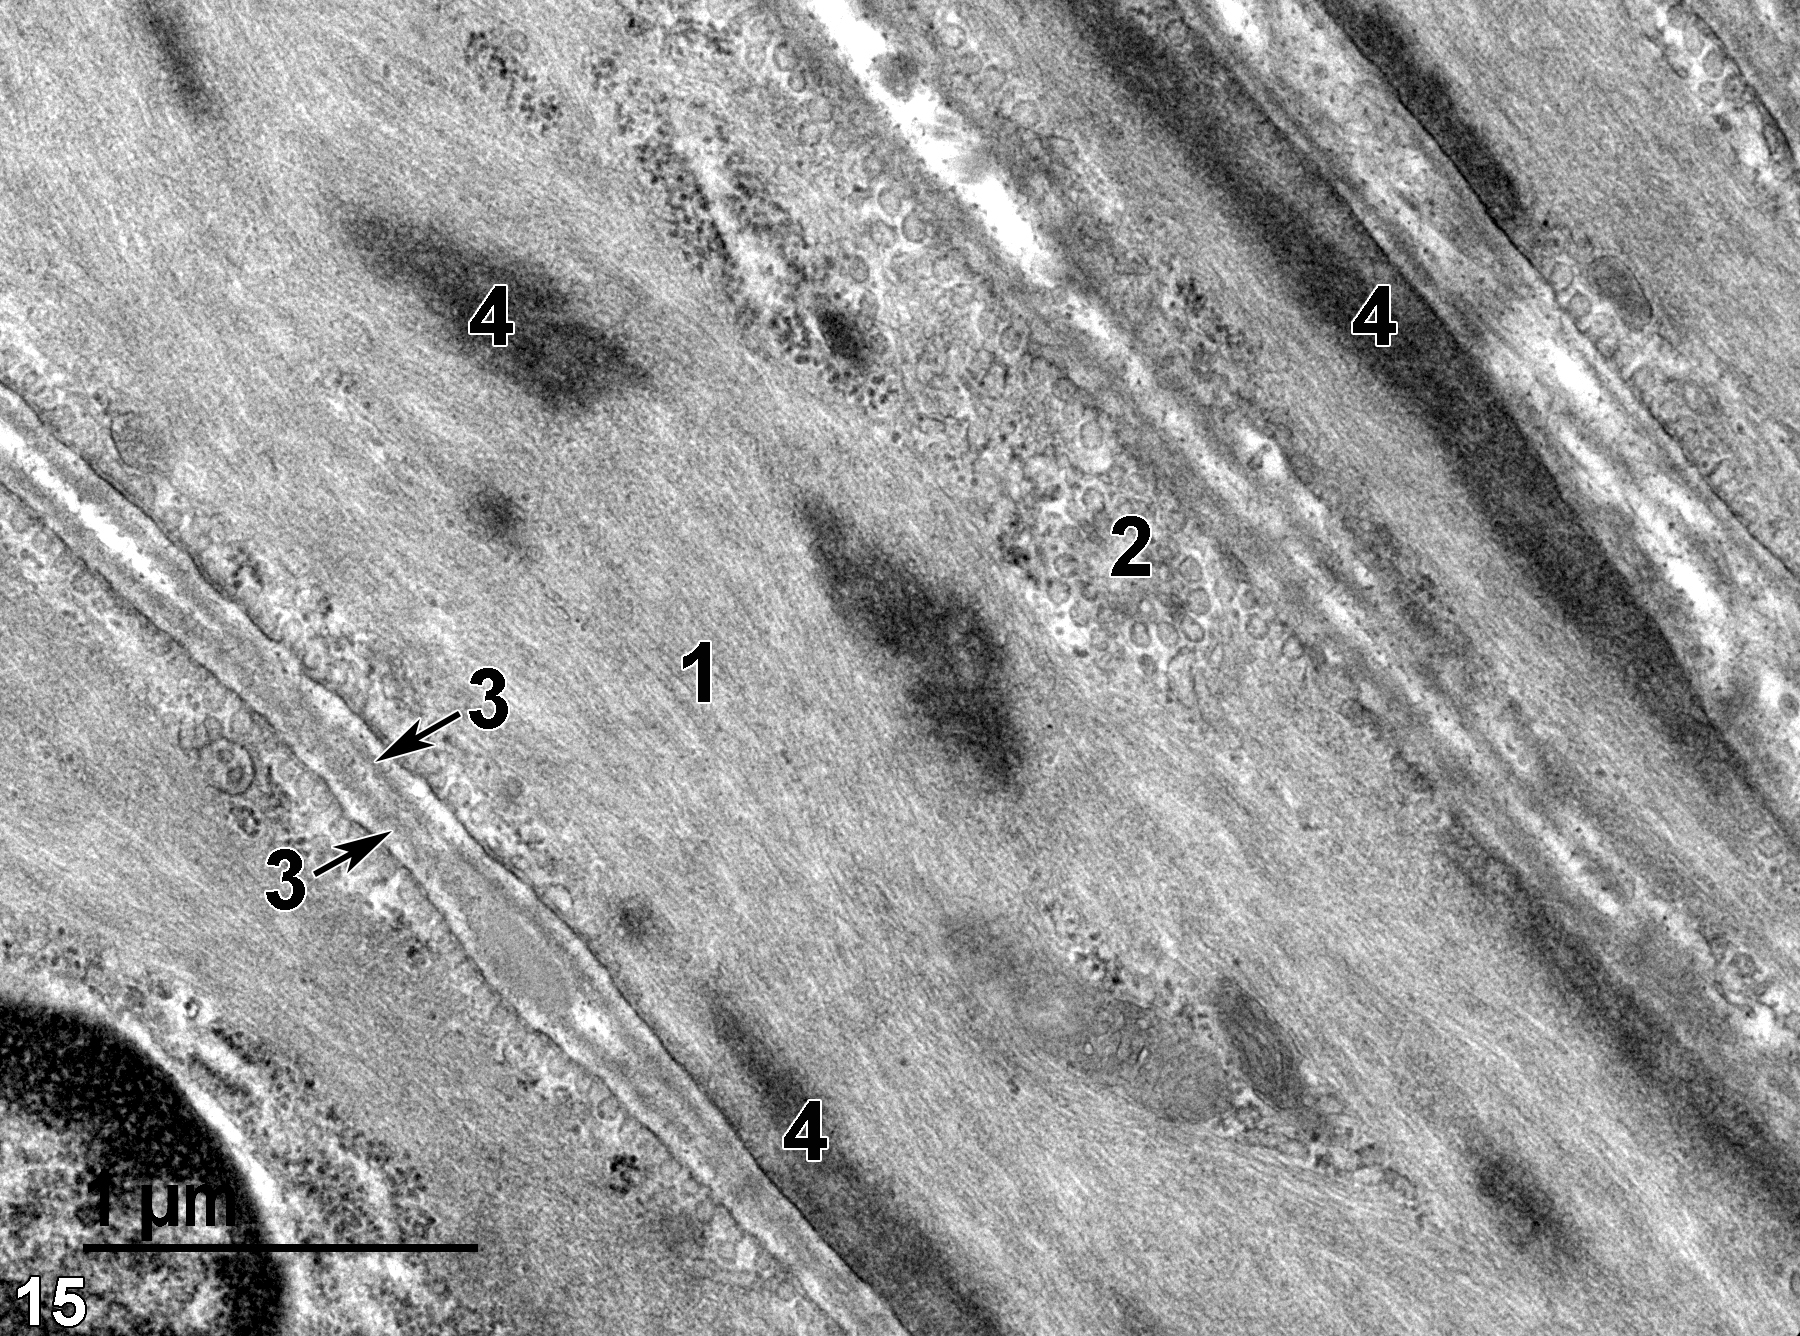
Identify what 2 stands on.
2 marks the clusters of vesicles.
